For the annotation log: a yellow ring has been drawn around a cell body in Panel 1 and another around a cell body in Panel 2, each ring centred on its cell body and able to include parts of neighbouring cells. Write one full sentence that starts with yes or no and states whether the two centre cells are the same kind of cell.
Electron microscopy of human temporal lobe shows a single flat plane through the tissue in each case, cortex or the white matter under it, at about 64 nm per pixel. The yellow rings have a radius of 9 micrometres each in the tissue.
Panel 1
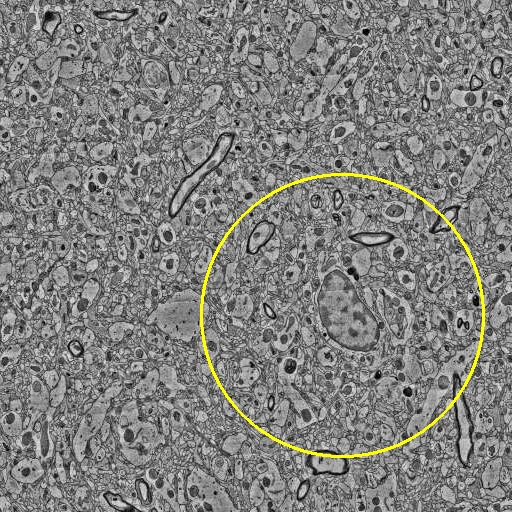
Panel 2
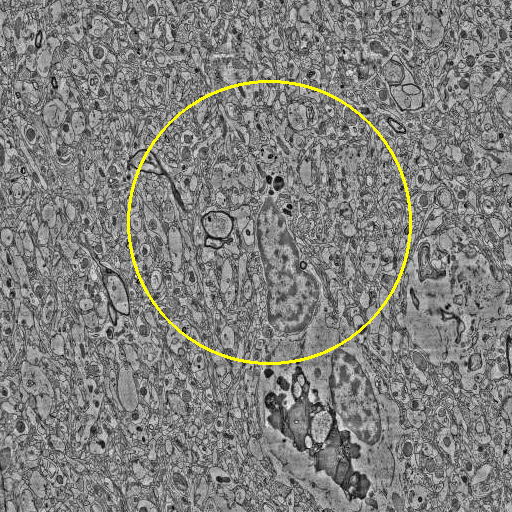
Yes, the two centre cells are the same kind of cell.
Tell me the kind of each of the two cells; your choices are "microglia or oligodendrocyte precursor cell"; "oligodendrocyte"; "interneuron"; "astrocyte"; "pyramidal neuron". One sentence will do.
The cell in the first picture is a microglial cell or oligodendrocyte precursor cell, and so is the one in the second.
